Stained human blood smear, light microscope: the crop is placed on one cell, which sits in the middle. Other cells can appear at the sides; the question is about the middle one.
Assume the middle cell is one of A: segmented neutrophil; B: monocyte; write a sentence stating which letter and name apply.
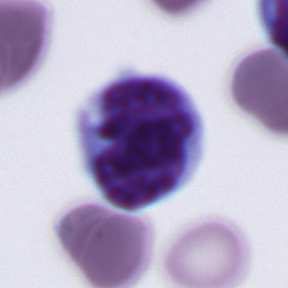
The central cell is a monocyte, which makes option B the right answer.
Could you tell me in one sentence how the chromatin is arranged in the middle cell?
Here the nuclear chromatin is coarsely clumped.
